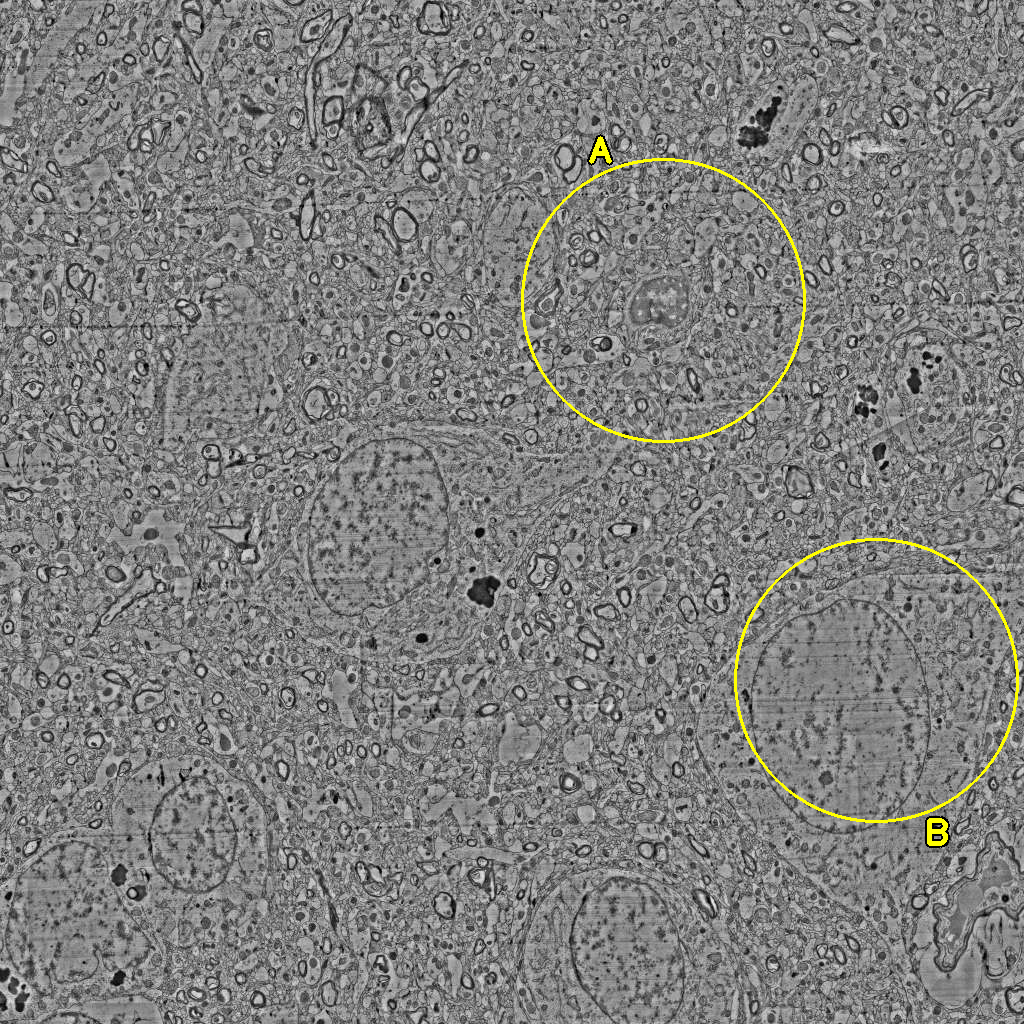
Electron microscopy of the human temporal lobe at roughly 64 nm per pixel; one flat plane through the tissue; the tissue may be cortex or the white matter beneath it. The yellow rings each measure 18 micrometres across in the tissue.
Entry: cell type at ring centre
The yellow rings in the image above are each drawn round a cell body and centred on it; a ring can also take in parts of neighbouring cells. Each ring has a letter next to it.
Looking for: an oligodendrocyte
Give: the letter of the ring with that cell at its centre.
A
